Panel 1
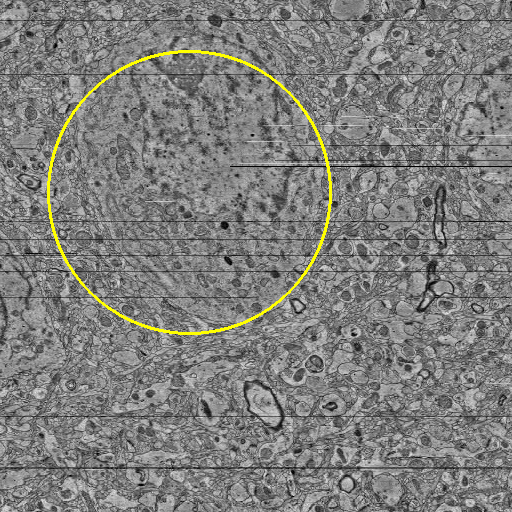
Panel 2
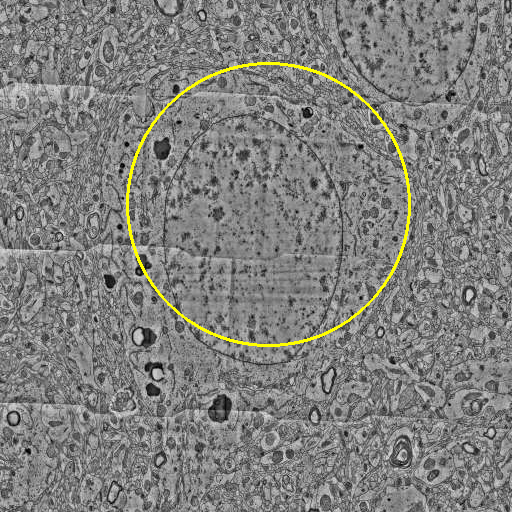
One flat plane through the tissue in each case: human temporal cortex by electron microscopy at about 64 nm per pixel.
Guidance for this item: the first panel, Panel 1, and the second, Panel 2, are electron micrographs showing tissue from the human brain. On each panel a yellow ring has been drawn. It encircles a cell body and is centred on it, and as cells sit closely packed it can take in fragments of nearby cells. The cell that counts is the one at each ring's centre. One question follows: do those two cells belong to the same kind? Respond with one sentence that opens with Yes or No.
No, the cells at the ring centres in Panel 1 and Panel 2 are of two kinds.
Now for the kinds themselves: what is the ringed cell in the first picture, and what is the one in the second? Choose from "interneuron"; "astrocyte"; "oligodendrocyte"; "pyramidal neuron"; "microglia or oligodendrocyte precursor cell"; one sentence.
Here the first cell is an interneuron and the second cell is a pyramidal neuron.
